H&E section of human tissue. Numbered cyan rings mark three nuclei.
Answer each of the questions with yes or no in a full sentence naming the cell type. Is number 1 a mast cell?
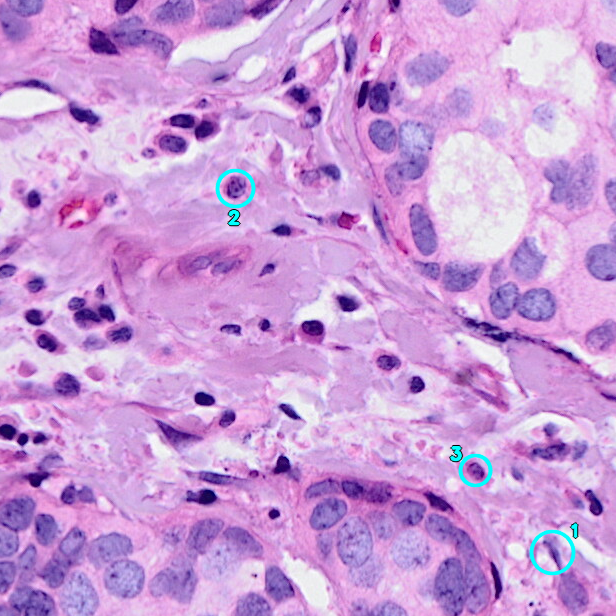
No, the cell given the number 1 is a fibroblast, so not a mast cell.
